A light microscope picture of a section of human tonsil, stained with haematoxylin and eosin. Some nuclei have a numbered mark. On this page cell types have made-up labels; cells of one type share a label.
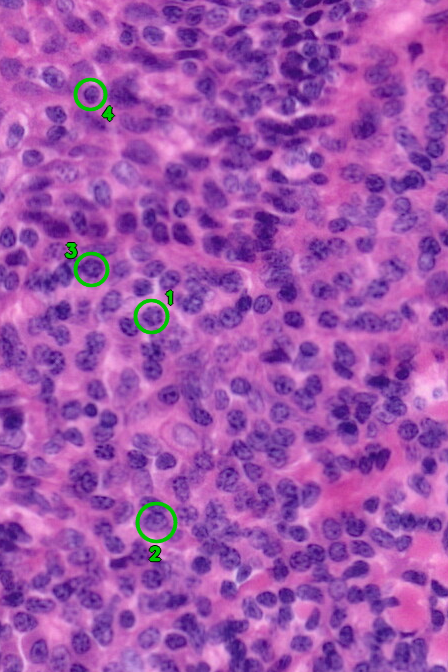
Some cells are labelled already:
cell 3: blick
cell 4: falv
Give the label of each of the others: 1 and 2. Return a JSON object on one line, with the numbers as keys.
{"1": "blick", "2": "blick"}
